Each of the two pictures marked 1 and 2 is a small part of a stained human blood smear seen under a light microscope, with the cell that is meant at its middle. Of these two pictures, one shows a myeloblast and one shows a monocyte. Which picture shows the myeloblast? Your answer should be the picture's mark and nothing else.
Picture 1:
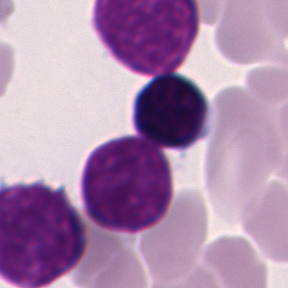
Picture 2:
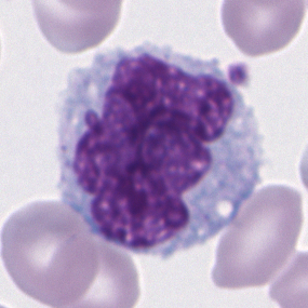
1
